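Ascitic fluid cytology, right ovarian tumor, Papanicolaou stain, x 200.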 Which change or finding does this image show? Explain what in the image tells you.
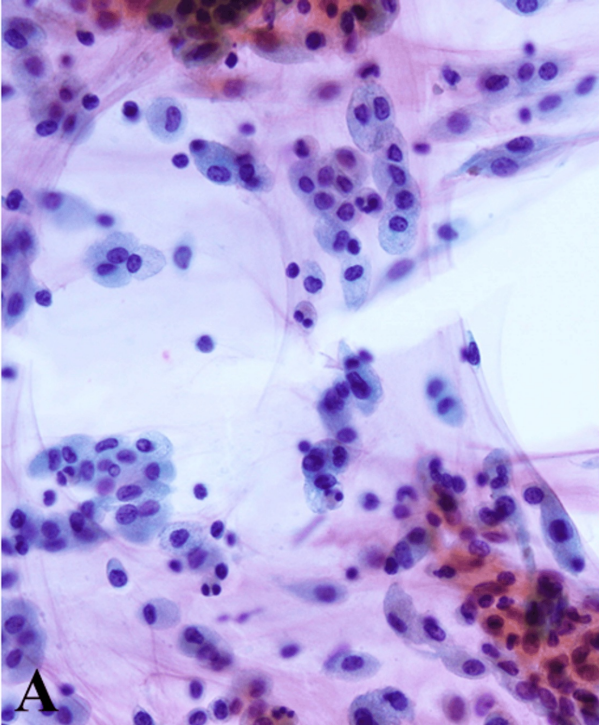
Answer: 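Many cells have pale, bluish, vacuolated cytoplasm with nuclei pushed to one side. Wispy pink-violet strands run through the background between the cells.
Mucin production.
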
